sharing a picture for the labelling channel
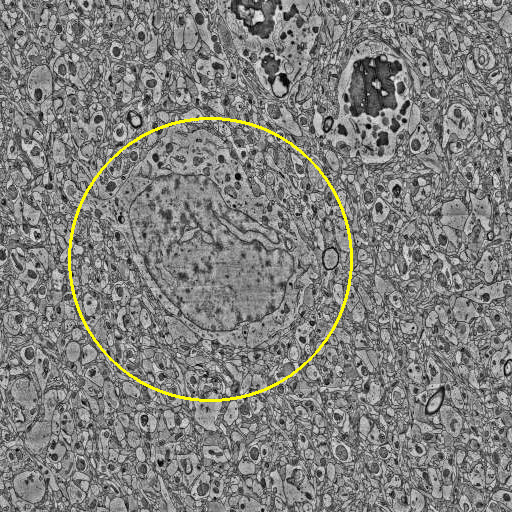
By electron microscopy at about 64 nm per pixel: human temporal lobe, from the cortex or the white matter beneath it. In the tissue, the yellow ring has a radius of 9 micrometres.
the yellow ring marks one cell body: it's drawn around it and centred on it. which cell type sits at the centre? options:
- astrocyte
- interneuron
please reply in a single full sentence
In the picture, the cell at the ring's centre is an interneuron, going by the list.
